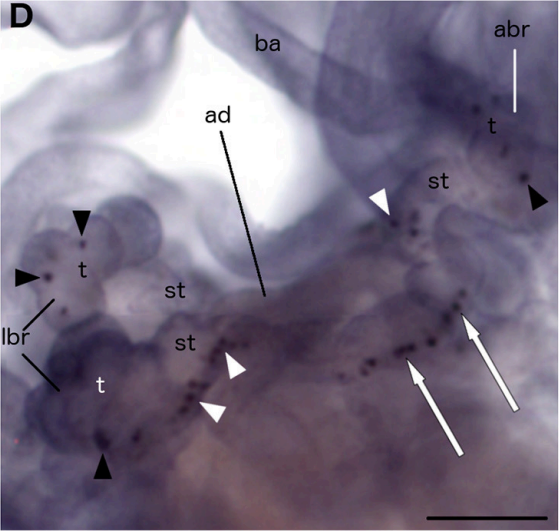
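The attachment complex of a starfish brachiolaria larva, with the rounded tips and narrower stems of the brachia surrounding the adhesive disk. Small dark purple dots, each the size of a single cell, are scattered in the tips and stems of the brachia and form a beaded line along the edge near the adhesive disk. The surrounding tissue is translucent with a faint diffuse purplish tint.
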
